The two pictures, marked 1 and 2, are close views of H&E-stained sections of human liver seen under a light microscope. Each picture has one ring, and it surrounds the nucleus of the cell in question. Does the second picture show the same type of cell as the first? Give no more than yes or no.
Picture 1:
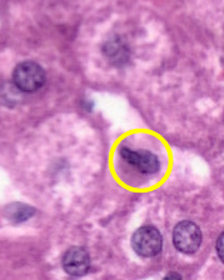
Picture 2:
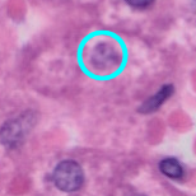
no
